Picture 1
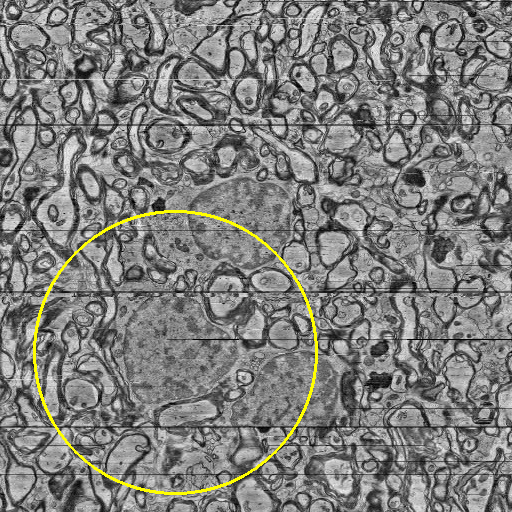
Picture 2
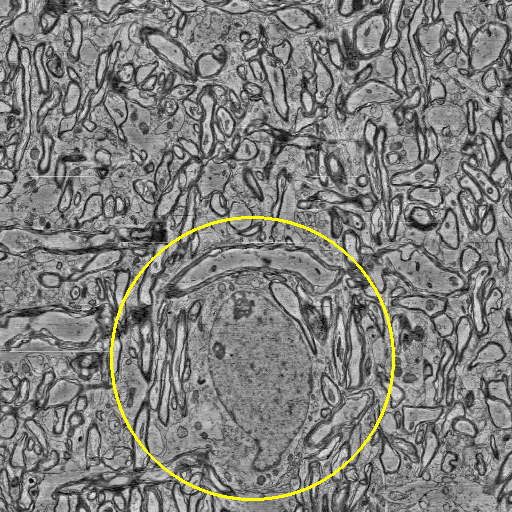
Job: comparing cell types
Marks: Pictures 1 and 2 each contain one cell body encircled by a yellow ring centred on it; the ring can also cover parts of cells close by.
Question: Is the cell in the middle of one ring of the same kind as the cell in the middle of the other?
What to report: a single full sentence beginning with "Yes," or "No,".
No, the cell at the ring centre in Picture 1 and its partner in Picture 2 are of two kinds.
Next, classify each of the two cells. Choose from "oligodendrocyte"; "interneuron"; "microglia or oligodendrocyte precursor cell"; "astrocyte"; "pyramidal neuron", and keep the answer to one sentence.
In the first picture it is an oligodendrocyte; in the second it is an astrocyte.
